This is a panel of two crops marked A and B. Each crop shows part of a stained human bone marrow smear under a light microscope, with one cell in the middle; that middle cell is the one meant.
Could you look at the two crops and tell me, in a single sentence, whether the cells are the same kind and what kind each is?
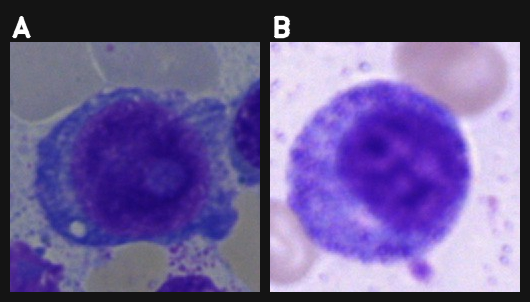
No, crop A is the one with a plasma cell; crop B has a promyelocyte.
